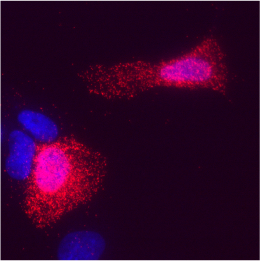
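These are cultured cells in interphase, each with an oval blue nucleus. In two of the cells fine red dots are packed over the nucleus and spread through the surrounding cytoplasm, while the neighbouring cells show only their blue nuclei.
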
